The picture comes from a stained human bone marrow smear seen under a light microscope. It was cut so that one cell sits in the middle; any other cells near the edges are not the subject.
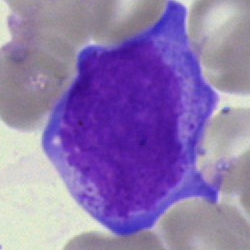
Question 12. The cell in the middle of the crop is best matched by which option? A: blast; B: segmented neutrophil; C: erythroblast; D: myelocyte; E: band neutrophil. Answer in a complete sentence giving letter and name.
Option A is right, the centrally situated cell being a blast.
